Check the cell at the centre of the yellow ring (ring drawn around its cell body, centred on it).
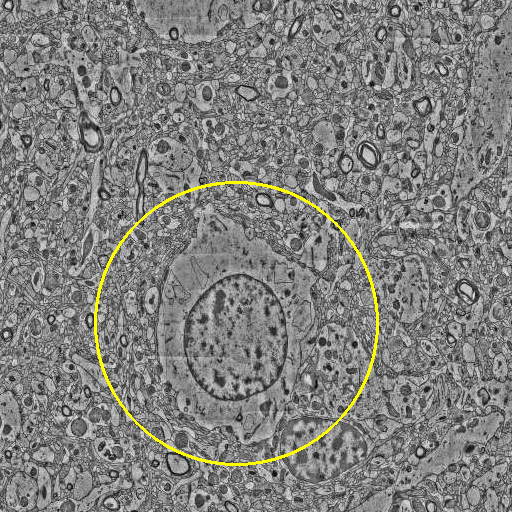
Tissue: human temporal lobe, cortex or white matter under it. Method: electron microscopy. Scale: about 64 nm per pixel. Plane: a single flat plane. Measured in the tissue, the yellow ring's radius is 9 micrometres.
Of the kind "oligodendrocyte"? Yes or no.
no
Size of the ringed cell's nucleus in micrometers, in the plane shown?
Roughly 8 by 7 micrometres is the size of the nucleus in this plane.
